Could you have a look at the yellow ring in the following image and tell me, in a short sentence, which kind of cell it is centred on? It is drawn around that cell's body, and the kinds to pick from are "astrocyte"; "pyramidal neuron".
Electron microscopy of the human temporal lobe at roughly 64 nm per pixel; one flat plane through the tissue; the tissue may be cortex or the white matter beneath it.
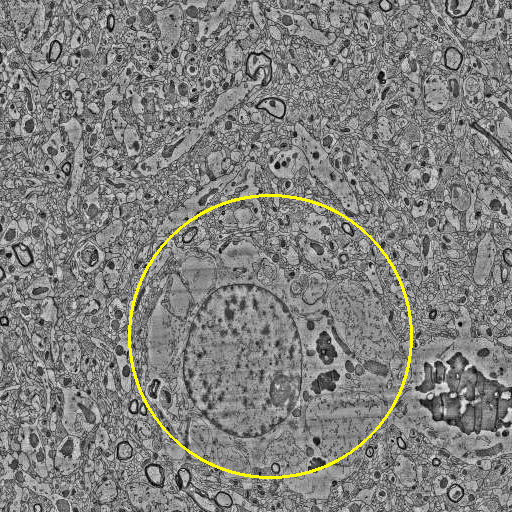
The ring is centred on the body of an astrocyte.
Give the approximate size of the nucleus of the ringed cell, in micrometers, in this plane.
In this plane, the nucleus of the cell at the centre of the ring measures about 10 by 8 micrometres.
